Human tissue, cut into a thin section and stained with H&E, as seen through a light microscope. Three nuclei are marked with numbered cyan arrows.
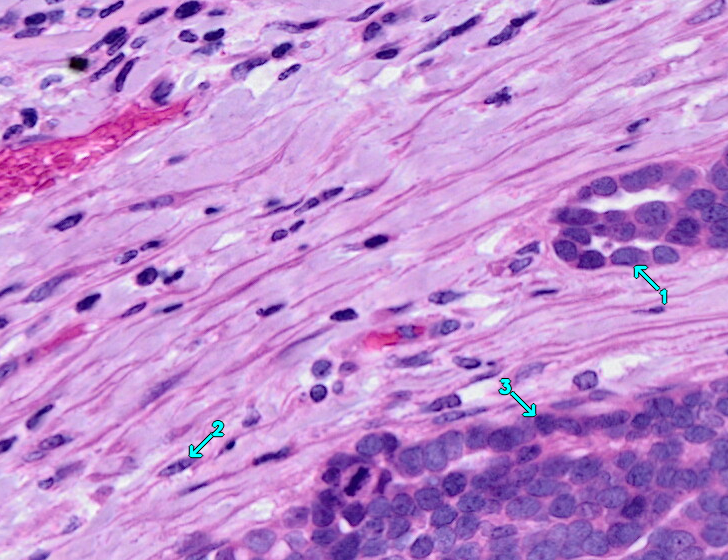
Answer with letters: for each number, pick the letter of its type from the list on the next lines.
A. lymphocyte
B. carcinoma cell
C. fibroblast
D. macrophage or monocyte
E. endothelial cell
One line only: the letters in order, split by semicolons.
B; C; B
